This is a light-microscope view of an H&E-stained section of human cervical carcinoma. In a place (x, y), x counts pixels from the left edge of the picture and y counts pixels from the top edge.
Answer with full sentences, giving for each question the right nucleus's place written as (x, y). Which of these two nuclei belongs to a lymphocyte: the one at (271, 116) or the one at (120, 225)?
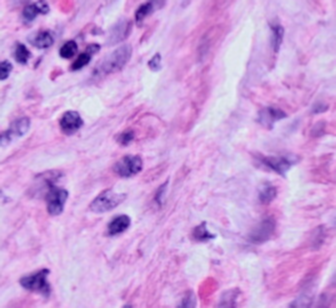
The nucleus at (120, 225) is housed in a lymphocyte.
